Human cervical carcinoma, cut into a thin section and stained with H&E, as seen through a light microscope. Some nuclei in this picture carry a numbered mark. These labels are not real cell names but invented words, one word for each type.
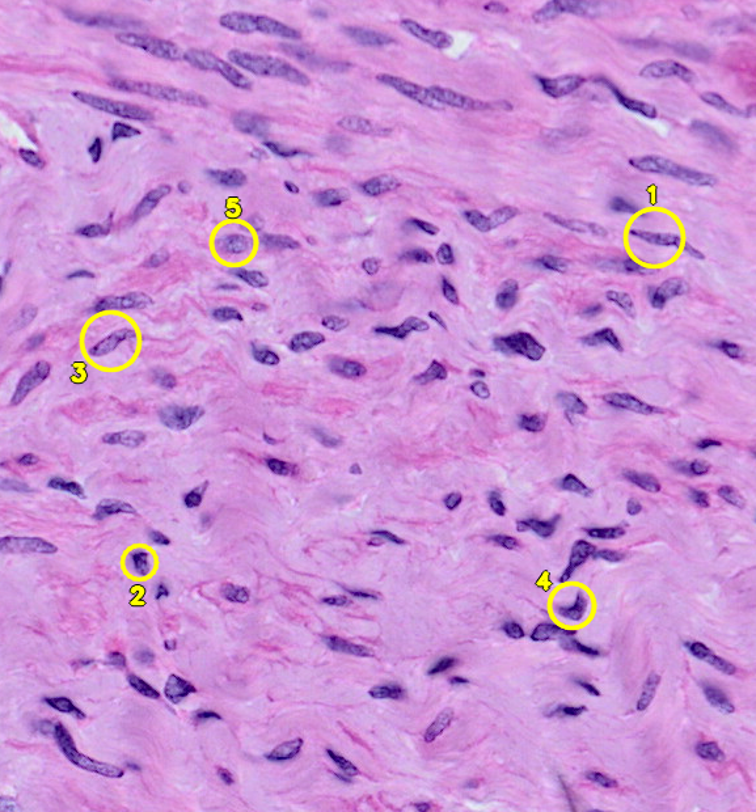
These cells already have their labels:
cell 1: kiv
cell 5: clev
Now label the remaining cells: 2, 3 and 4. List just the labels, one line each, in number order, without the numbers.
kiv
clev
kiv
